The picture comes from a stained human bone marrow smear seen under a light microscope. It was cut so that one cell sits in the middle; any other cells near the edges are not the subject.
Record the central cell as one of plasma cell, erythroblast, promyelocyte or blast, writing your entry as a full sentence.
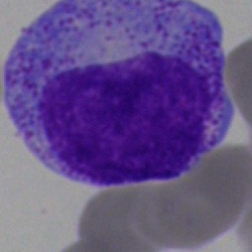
The cell under consideration, at the middle of the crop, is a promyelocyte.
